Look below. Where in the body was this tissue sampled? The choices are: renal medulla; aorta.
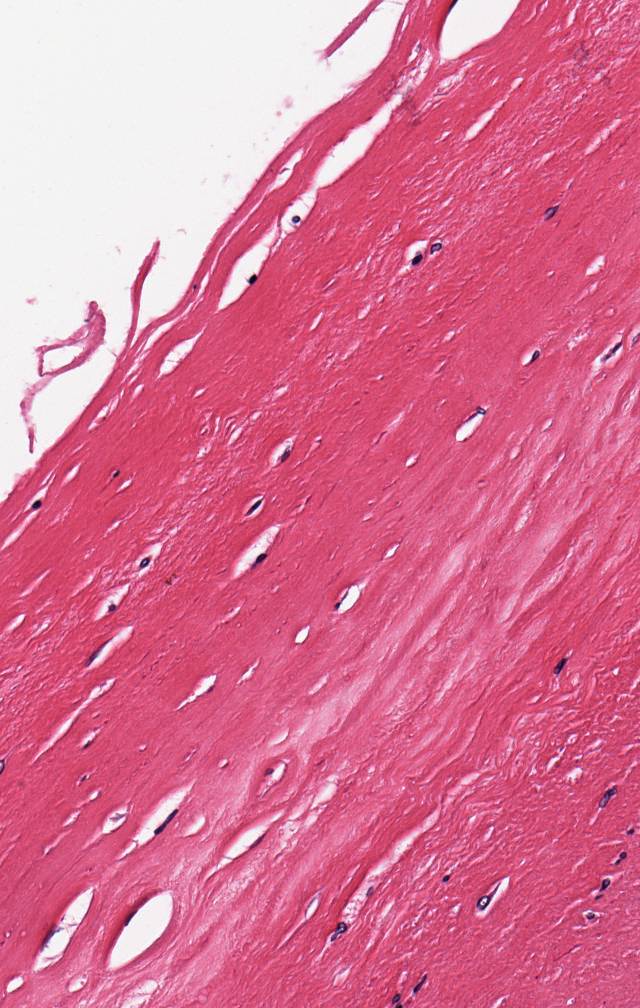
aorta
